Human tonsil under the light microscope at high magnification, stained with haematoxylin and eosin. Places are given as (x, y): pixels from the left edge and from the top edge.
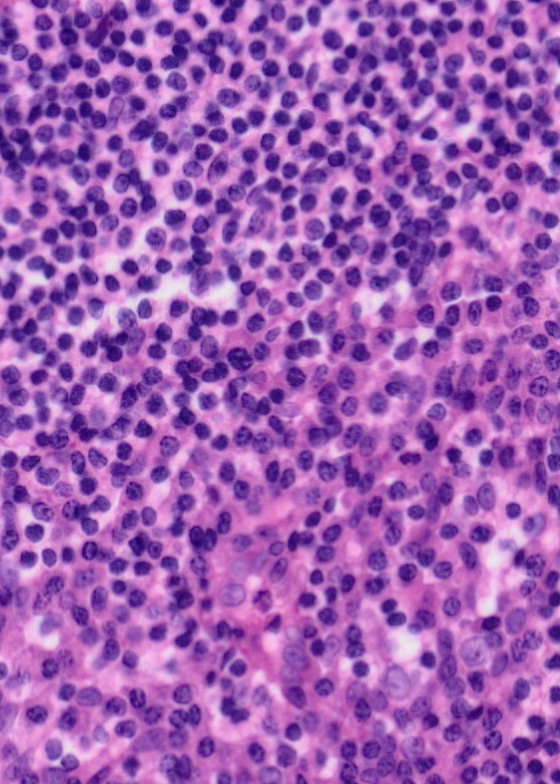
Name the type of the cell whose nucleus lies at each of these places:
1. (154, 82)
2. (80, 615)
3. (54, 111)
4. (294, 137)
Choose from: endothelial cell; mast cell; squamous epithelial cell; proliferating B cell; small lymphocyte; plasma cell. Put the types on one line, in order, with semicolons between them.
small lymphocyte; plasma cell; small lymphocyte; small lymphocyte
